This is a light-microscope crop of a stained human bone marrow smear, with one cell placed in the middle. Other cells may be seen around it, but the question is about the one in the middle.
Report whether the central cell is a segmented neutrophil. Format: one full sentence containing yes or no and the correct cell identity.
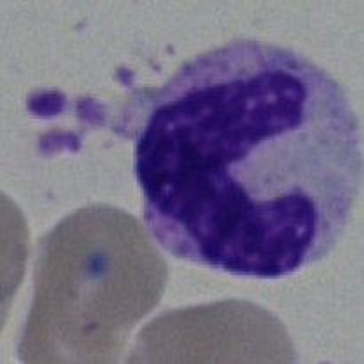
No, what sits in the centre of the crop is a band neutrophil rather than a segmented neutrophil.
